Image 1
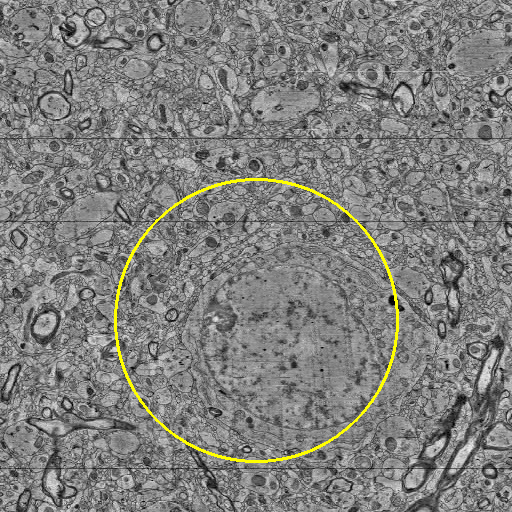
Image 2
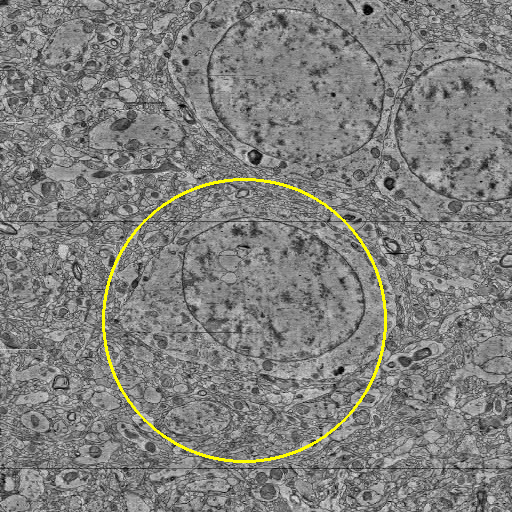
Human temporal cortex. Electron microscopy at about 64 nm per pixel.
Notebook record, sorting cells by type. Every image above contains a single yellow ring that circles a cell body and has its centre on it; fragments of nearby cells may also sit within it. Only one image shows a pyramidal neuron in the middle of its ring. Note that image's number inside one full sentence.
For image 2, the cell in the middle of its yellow ring is the match.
